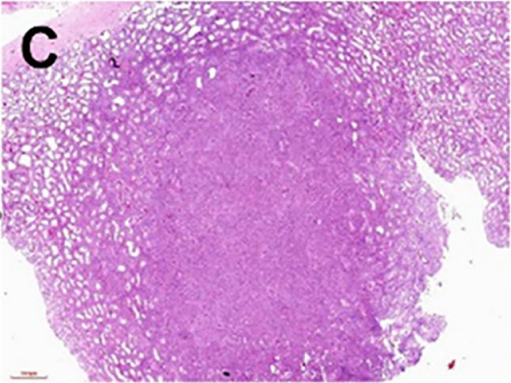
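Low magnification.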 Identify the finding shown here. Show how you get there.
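A large, dense, rounded pink area occupies the middle of the section. No fibrous capsule separates it from the surrounding tissue. Its boundary with the surrounding tissue is fairly clear.
Answer: nodular distributions lacking capsules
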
